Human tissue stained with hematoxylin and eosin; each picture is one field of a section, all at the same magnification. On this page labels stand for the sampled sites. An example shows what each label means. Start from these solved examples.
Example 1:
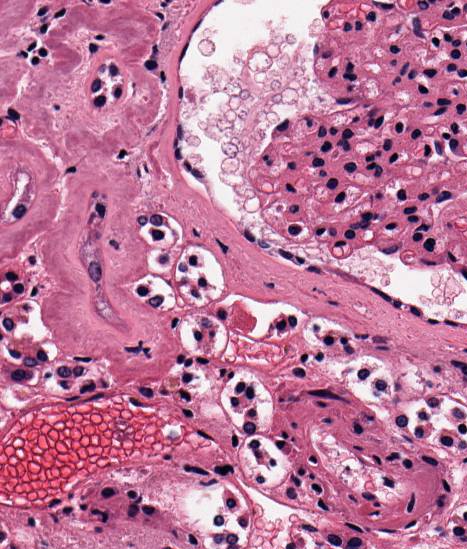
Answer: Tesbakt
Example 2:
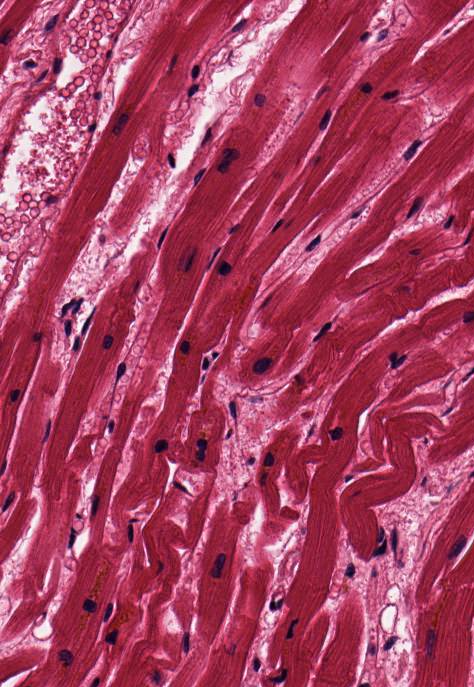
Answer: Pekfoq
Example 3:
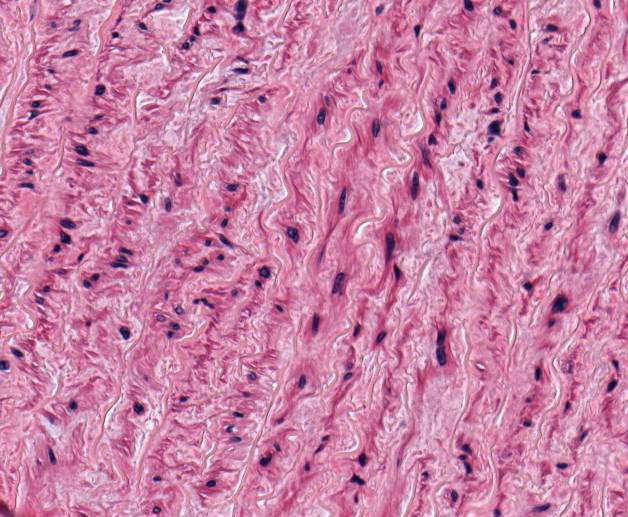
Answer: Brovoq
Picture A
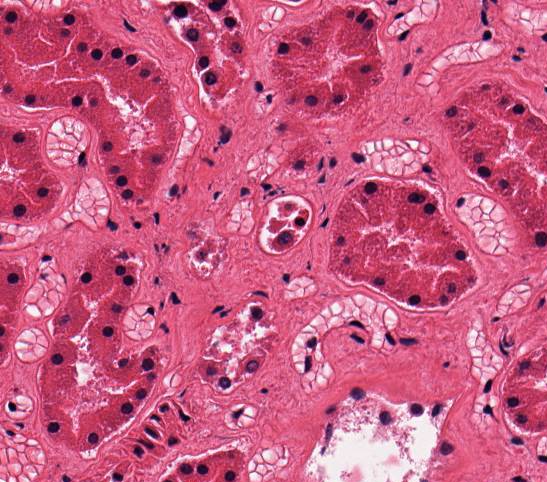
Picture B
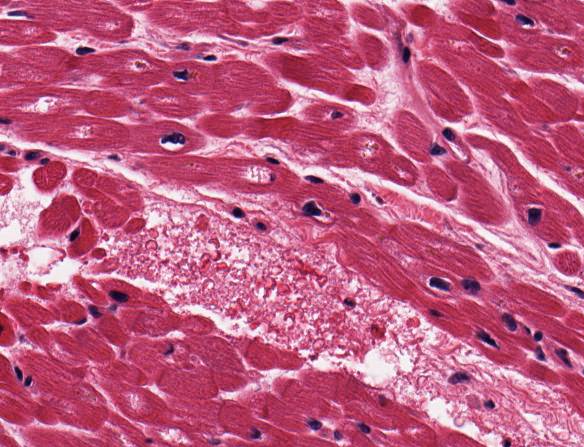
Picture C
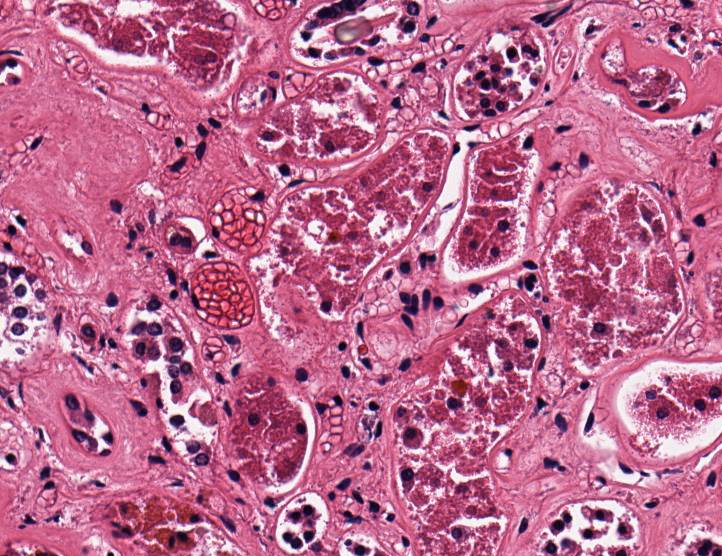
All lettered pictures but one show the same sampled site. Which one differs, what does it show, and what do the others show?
B differs and shows Pekfoq; the others show Tesbakt.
